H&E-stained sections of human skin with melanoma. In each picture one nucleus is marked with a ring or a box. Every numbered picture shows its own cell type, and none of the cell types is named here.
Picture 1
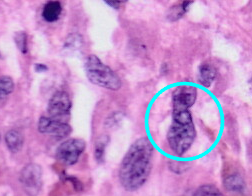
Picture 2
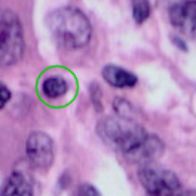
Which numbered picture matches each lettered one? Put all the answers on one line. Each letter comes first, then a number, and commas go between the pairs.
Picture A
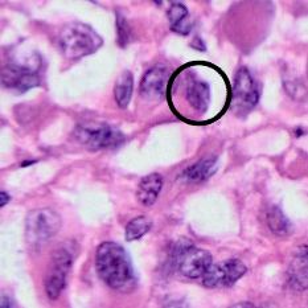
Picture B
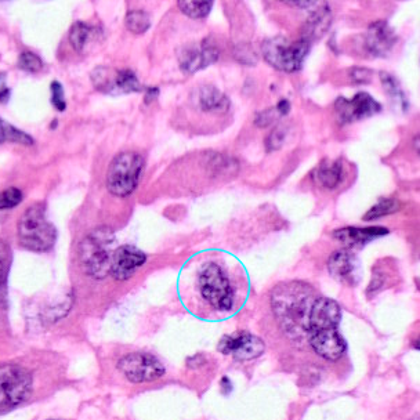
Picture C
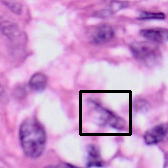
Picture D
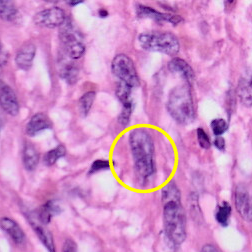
A 1, B 1, C 1, D 1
